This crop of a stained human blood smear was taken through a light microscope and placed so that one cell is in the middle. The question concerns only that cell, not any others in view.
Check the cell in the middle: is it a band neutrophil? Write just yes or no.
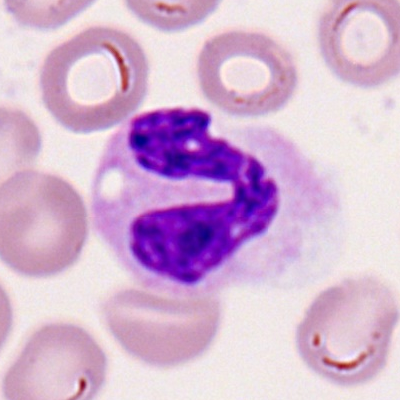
no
